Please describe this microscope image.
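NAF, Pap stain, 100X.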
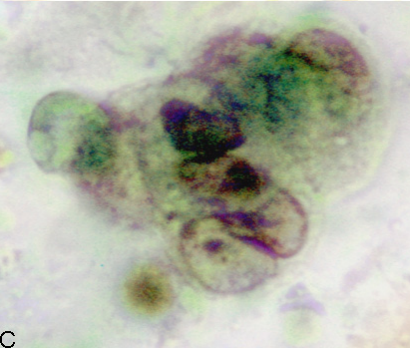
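A small group of atypical epithelial cells with large nuclei fills this field. The nuclear outlines are irregular and folded, and the chromatin is coarse and clumped in dark purple, while the cytoplasm around them is pale greenish.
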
